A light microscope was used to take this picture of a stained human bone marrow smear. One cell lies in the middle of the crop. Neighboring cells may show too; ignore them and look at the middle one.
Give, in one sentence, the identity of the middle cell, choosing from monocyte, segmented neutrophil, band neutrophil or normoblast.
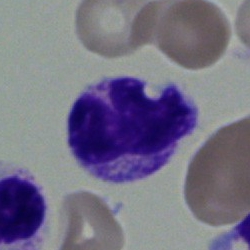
At the crop's centre, the cell is a segmented neutrophil.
